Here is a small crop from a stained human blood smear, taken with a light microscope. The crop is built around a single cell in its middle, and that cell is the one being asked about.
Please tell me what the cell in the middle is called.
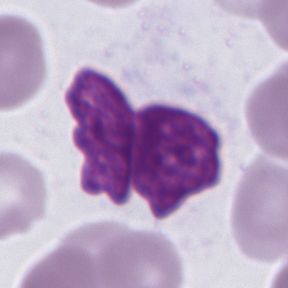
smudge cell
